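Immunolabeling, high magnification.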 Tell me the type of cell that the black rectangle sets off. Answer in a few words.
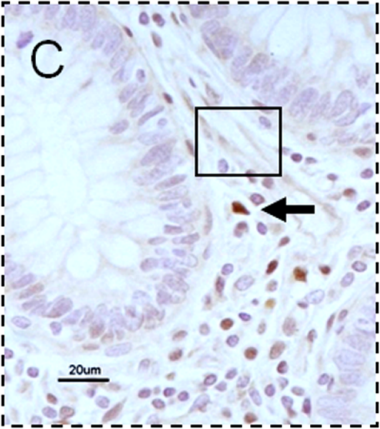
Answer: fibroblasts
